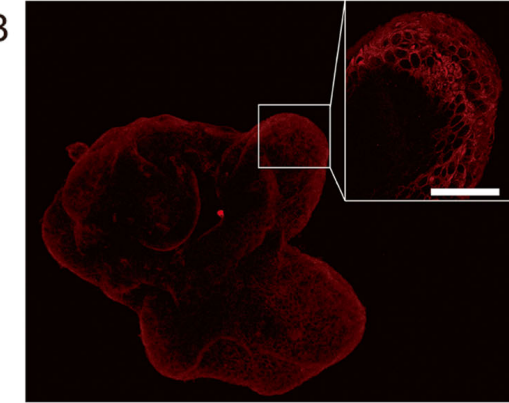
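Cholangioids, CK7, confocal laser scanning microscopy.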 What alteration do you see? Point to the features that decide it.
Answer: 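In the enlarged inset, outlined cells are packed tightly together. At the edge of the bud the cells lie stacked in more than one row. On this evidence: more than one layer.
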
